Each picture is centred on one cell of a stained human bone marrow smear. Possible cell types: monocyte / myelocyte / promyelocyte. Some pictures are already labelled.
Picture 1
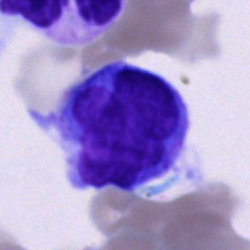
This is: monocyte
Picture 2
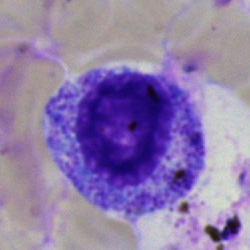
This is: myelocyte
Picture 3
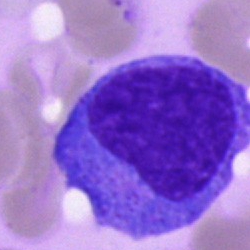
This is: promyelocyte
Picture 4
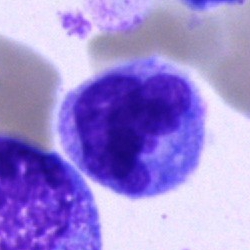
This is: monocyte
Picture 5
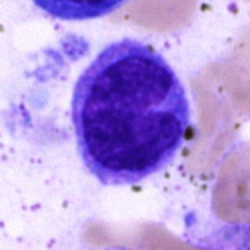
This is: monocyte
